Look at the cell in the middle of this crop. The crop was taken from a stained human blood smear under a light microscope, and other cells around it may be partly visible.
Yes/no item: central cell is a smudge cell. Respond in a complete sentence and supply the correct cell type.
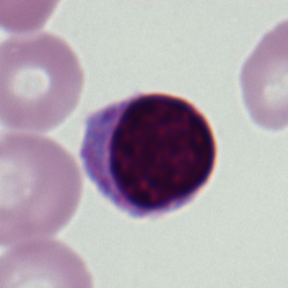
No, calling it a smudge cell is wrong; the middle cell is a typical lymphocyte.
